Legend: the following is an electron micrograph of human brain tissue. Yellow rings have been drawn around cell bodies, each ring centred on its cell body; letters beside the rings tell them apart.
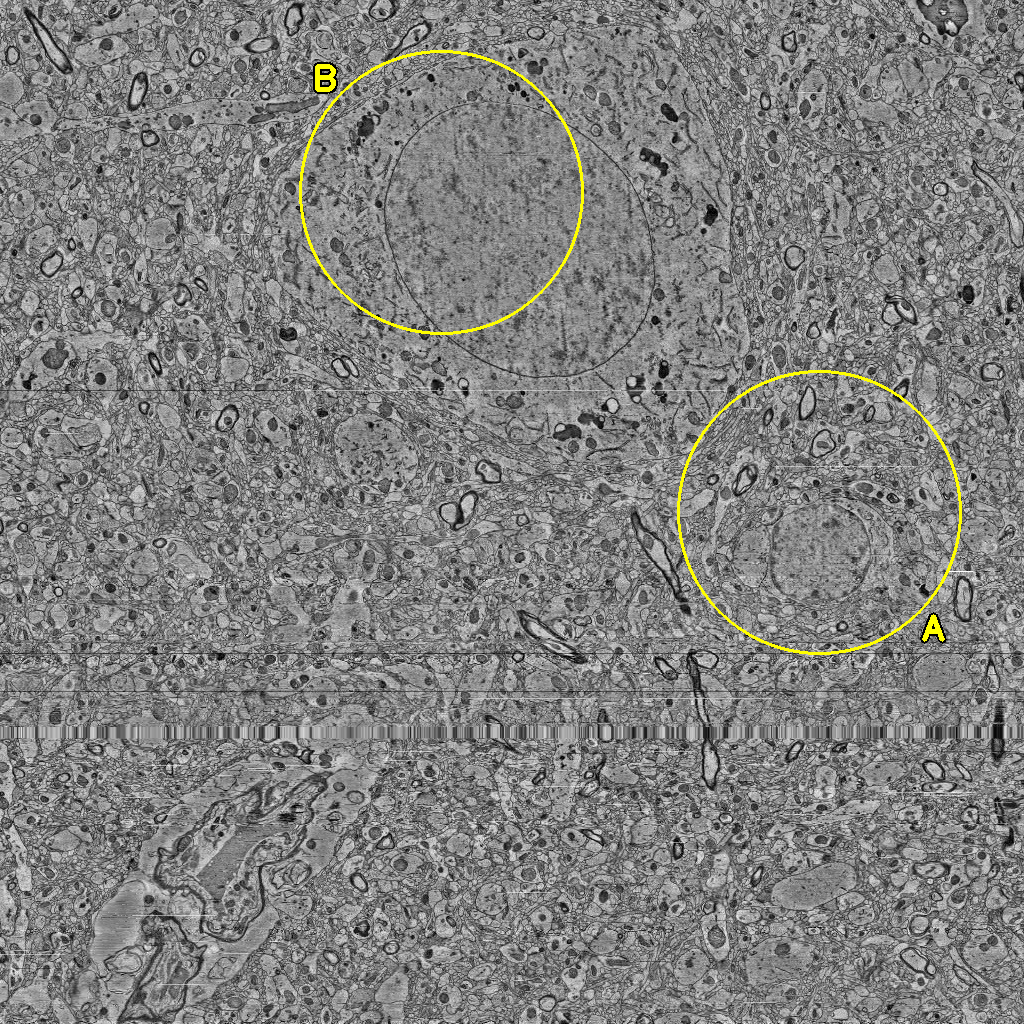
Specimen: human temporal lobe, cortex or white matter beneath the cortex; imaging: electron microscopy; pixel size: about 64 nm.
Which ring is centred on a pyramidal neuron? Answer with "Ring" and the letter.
Ring B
